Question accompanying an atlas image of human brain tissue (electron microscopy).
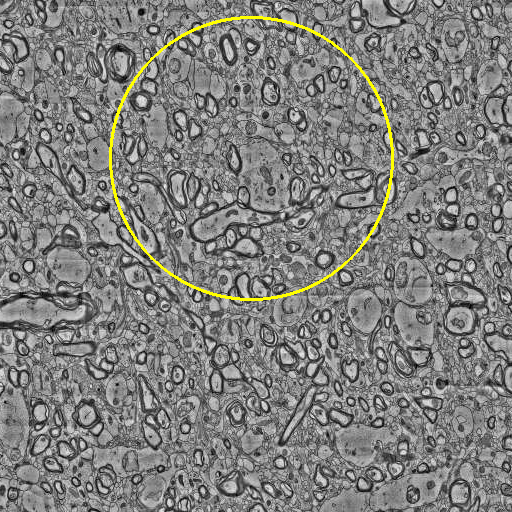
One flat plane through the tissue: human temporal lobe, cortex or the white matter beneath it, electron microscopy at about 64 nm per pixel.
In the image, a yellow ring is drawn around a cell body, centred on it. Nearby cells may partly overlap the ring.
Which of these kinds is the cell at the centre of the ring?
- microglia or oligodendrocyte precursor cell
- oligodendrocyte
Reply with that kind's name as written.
microglia or oligodendrocyte precursor cell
